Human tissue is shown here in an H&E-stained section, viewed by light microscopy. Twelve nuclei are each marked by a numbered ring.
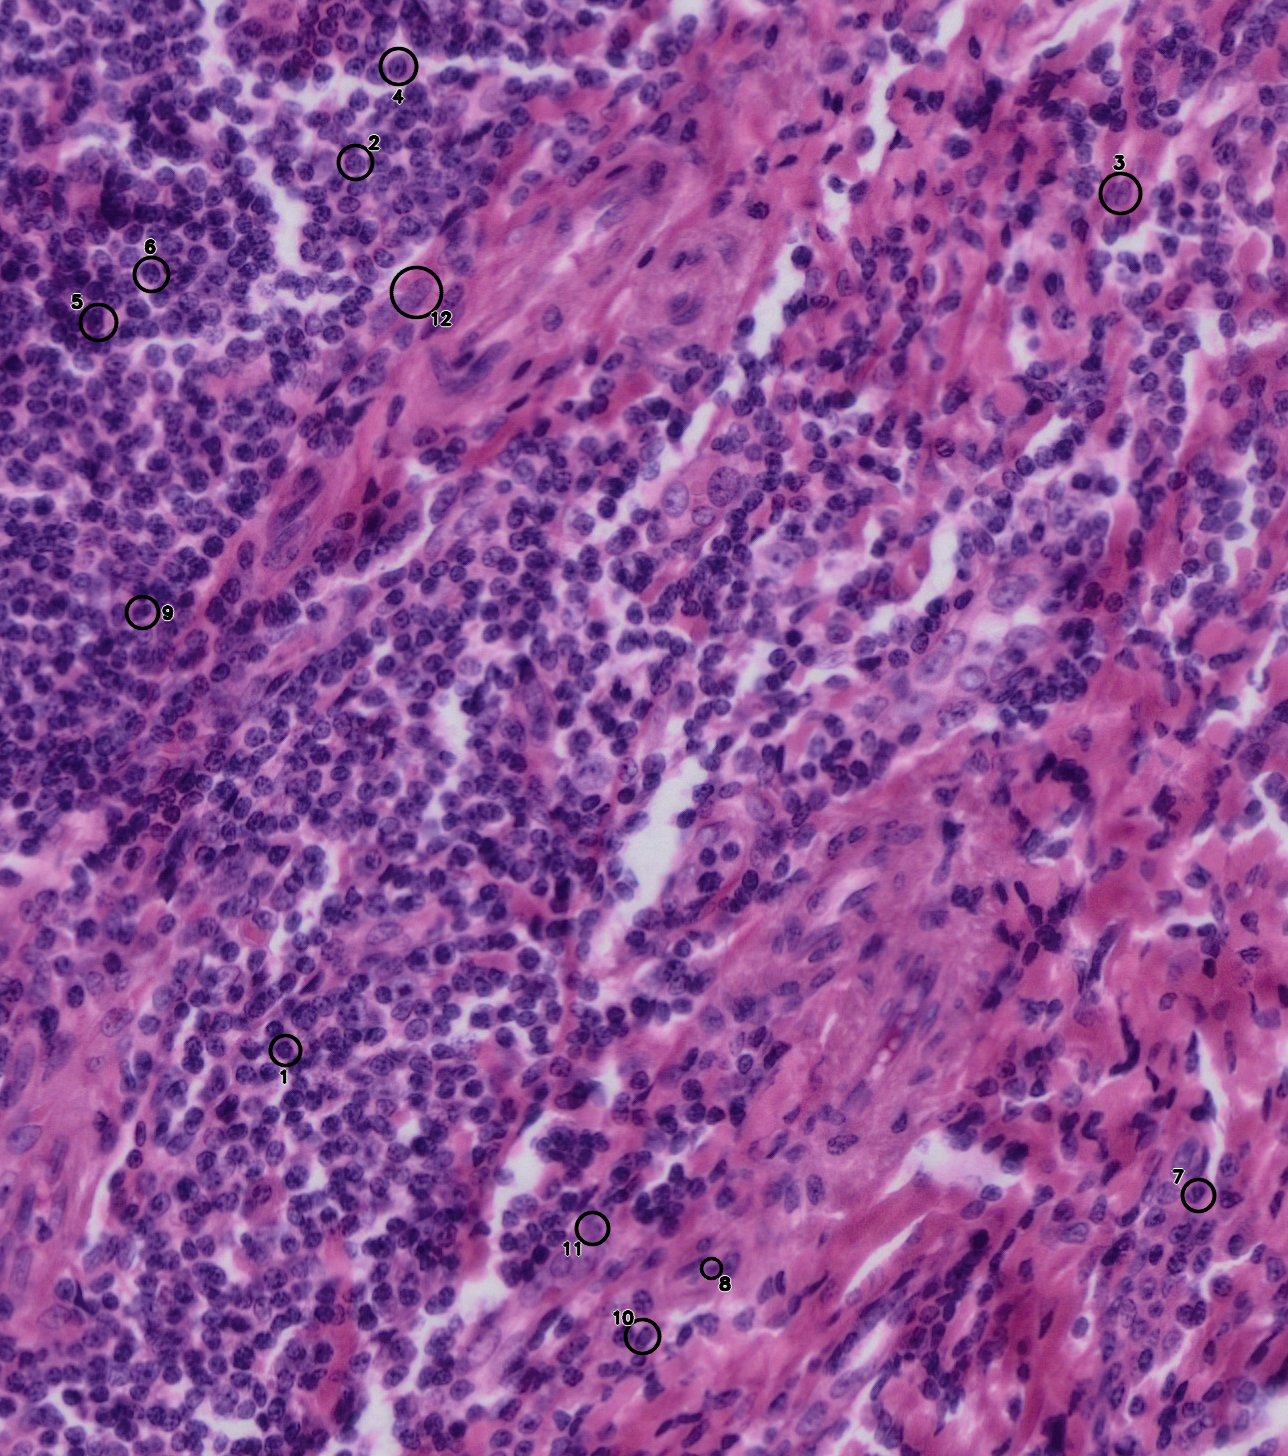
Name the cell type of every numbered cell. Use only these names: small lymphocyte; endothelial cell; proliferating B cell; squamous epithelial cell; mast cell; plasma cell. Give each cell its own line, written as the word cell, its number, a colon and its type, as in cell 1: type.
cell 1: small lymphocyte
cell 2: small lymphocyte
cell 3: endothelial cell
cell 4: plasma cell
cell 5: small lymphocyte
cell 6: small lymphocyte
cell 7: plasma cell
cell 8: endothelial cell
cell 9: small lymphocyte
cell 10: plasma cell
cell 11: endothelial cell
cell 12: endothelial cell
